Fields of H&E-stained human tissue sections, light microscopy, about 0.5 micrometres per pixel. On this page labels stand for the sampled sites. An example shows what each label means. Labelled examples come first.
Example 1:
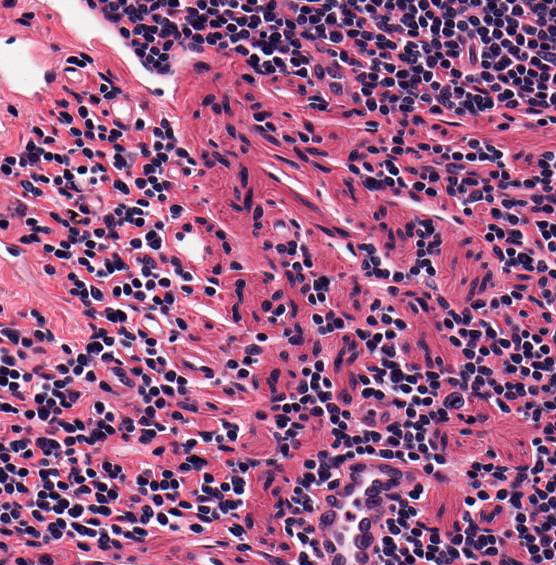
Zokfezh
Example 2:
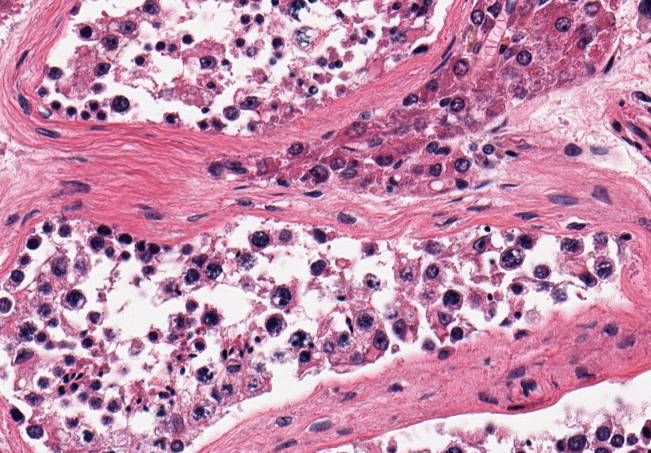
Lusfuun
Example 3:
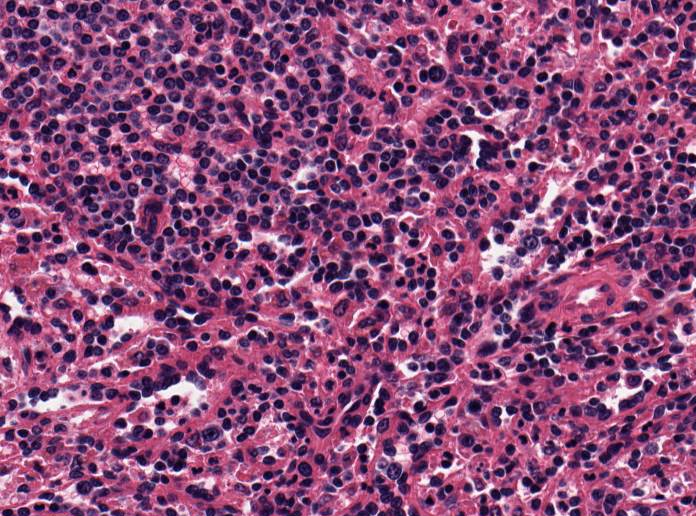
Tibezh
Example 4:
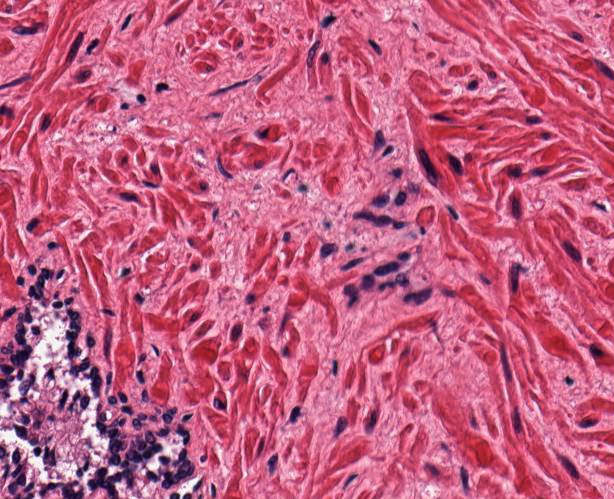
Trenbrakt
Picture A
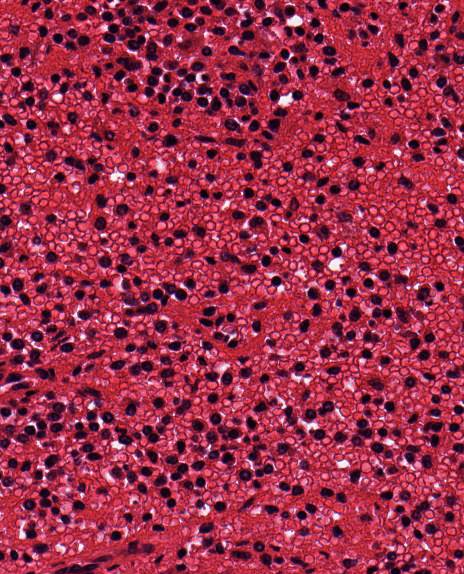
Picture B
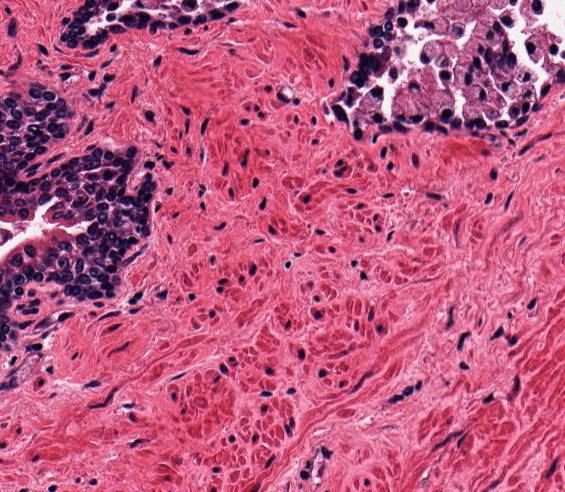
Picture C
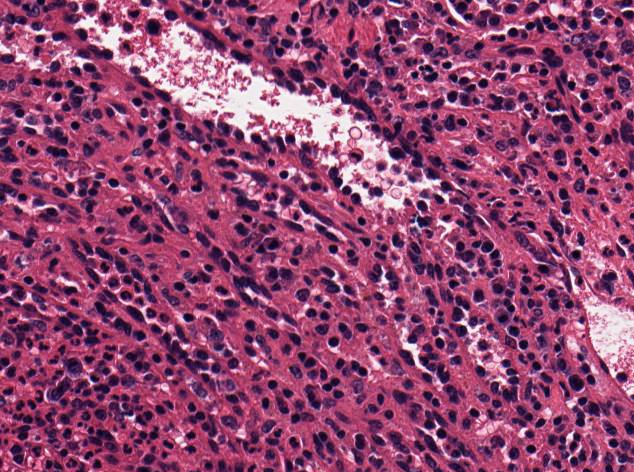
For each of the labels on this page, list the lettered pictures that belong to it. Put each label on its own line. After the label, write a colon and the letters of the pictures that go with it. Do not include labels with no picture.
Tibezh: A, C
Trenbrakt: B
